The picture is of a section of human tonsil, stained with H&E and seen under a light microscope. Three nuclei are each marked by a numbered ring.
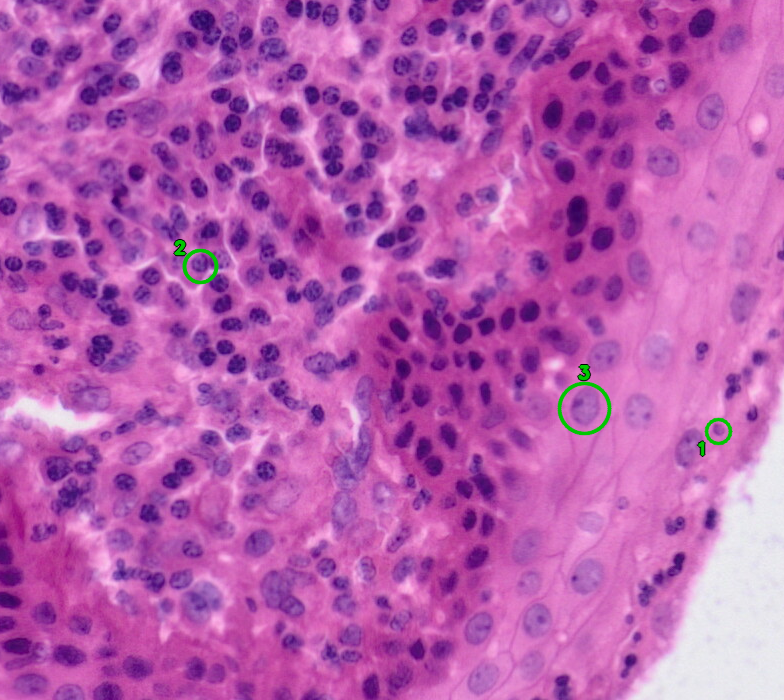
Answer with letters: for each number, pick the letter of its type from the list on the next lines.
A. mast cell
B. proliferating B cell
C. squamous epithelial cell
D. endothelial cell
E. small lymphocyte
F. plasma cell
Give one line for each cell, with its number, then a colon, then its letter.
1: C
2: F
3: C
